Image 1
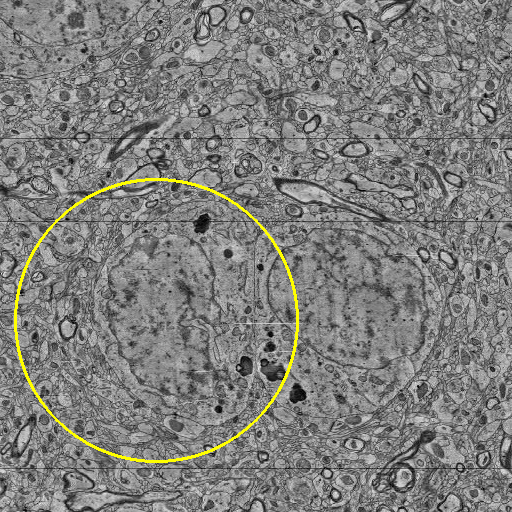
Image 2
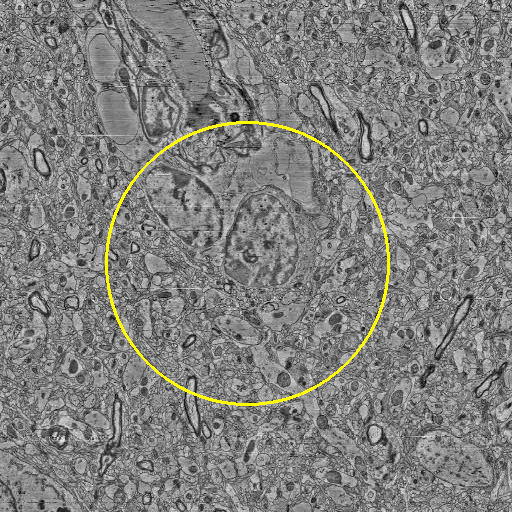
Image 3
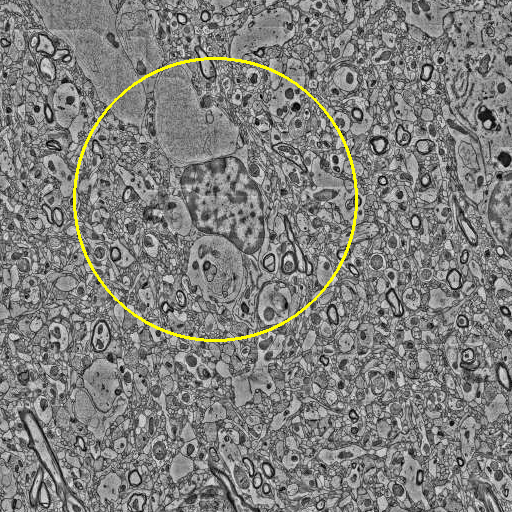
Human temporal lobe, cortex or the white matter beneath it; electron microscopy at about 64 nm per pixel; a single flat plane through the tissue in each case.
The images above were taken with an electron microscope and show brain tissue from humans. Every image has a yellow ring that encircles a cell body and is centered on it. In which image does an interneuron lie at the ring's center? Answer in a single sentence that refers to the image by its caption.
In Image 1, the cell at the center of the yellow ring is the correct match.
